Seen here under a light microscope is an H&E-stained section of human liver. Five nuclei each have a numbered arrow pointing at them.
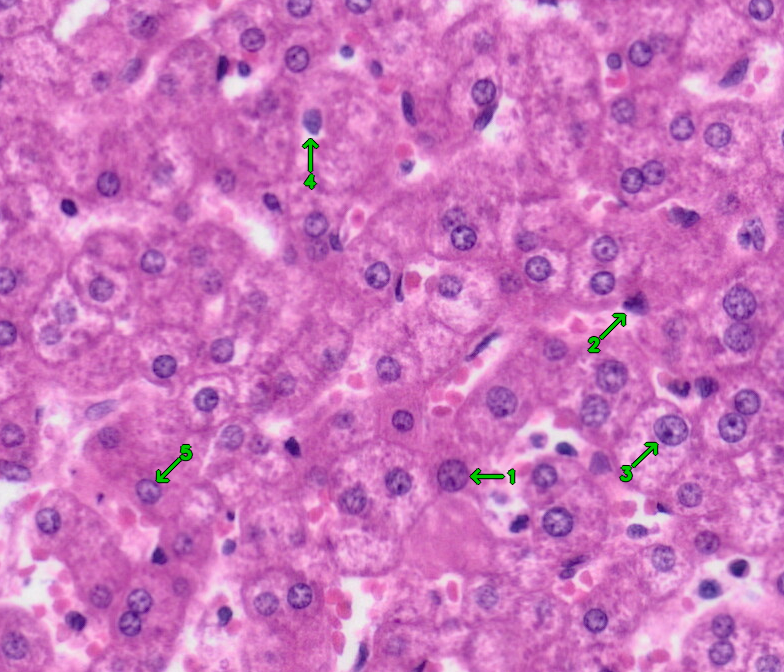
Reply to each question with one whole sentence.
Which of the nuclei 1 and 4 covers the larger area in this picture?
The larger nucleus is 1, at roughly 2 times the area of 4.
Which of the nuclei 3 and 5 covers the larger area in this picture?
At about 2 times the area of nucleus 5, nucleus 3 is the larger of the two.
